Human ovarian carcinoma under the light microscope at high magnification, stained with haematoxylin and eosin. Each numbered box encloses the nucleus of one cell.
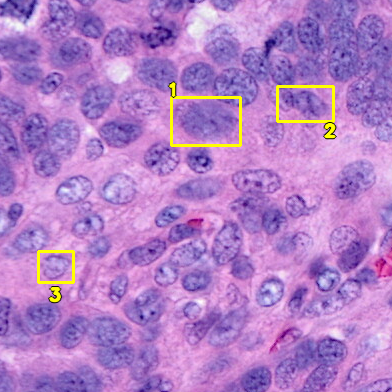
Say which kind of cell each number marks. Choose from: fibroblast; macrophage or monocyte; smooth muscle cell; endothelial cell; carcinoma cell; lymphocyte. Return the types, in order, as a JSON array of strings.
["carcinoma cell", "macrophage or monocyte", "fibroblast"]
